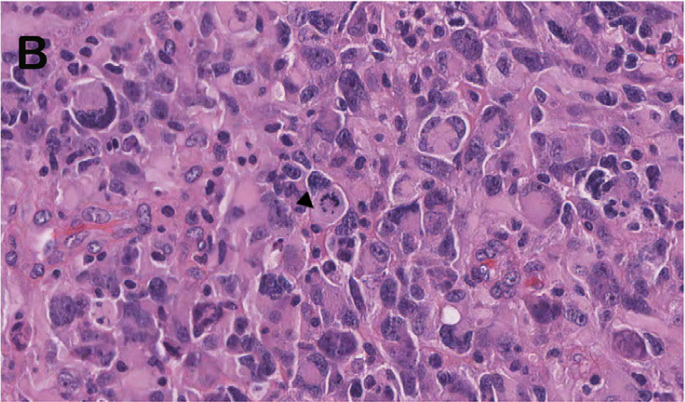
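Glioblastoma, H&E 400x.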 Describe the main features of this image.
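This is a highly cellular tumor with many large, bizarre giant cells that carry several nuclei or large, irregular, hyperchromatic nuclei, lying among smaller cells with small nuclei. The nuclei vary greatly in size and shape, and some show irregular clumped chromatin, as in an abnormal mitotic figure.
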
